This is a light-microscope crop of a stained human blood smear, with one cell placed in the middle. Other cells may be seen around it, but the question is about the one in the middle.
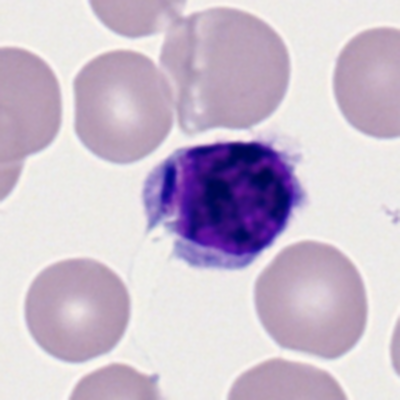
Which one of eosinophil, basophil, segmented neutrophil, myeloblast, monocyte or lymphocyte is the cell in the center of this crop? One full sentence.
By type, the central cell of the crop is a lymphocyte.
